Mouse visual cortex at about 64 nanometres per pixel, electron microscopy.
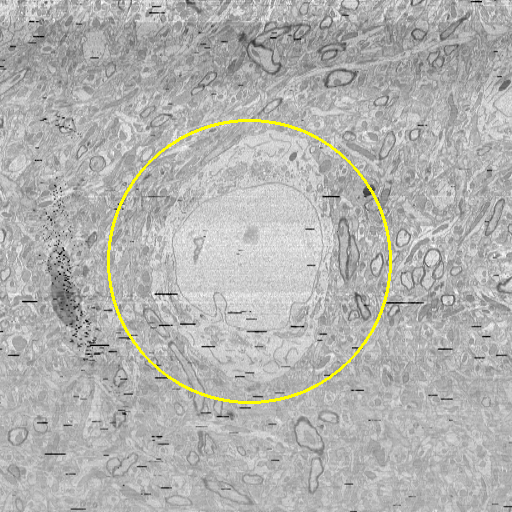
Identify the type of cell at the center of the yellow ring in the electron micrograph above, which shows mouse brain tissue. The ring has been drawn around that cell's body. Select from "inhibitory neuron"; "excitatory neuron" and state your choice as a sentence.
The yellow ring is centered on the body of an excitatory neuron.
